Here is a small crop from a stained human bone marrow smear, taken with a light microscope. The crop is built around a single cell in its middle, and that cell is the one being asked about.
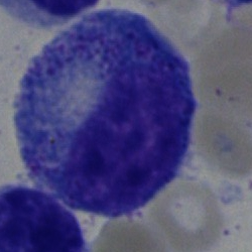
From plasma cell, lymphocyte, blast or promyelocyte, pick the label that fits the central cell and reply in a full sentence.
The centrally placed cell is classified as a promyelocyte.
